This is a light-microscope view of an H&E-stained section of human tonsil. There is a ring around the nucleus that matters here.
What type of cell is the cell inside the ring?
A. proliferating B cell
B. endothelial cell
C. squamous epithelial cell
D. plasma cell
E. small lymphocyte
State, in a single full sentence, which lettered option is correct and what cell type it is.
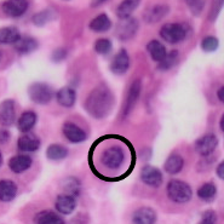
It is option D that is correct, the cell inside the ring being a plasma cell.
